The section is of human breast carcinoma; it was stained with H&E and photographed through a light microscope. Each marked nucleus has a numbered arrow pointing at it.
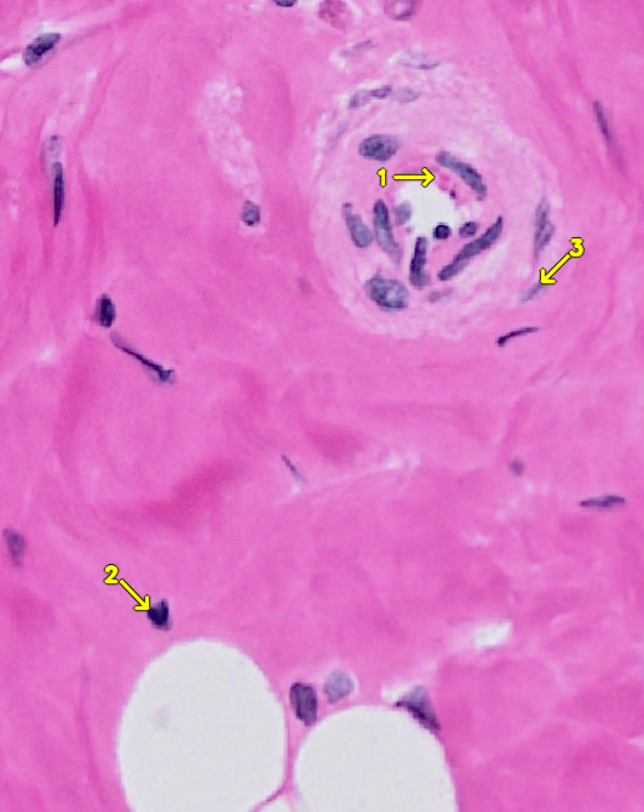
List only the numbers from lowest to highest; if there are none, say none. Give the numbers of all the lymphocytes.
2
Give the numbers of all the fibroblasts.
3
